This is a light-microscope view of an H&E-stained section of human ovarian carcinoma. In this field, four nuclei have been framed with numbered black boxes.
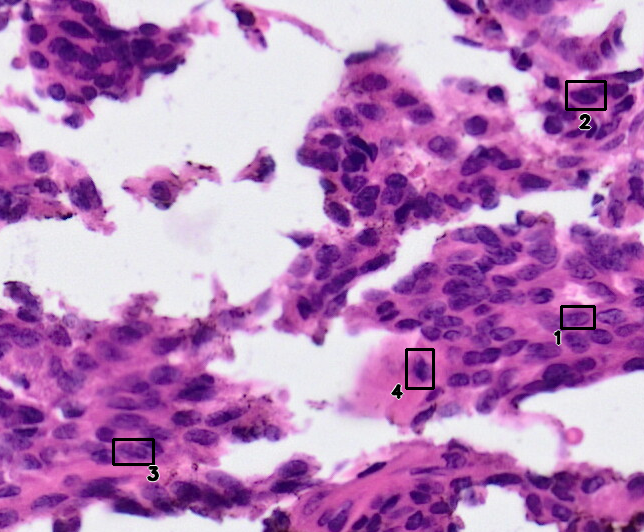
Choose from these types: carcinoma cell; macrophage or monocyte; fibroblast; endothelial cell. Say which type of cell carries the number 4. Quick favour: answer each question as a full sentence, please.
The cell pointed out as number 4 is an endothelial cell.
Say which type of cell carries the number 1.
Cell 1 in the field of view is a carcinoma cell.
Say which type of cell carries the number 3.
The cell given label 3 is a carcinoma cell.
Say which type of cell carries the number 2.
The nucleus marked 2 is the nucleus of a carcinoma cell.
